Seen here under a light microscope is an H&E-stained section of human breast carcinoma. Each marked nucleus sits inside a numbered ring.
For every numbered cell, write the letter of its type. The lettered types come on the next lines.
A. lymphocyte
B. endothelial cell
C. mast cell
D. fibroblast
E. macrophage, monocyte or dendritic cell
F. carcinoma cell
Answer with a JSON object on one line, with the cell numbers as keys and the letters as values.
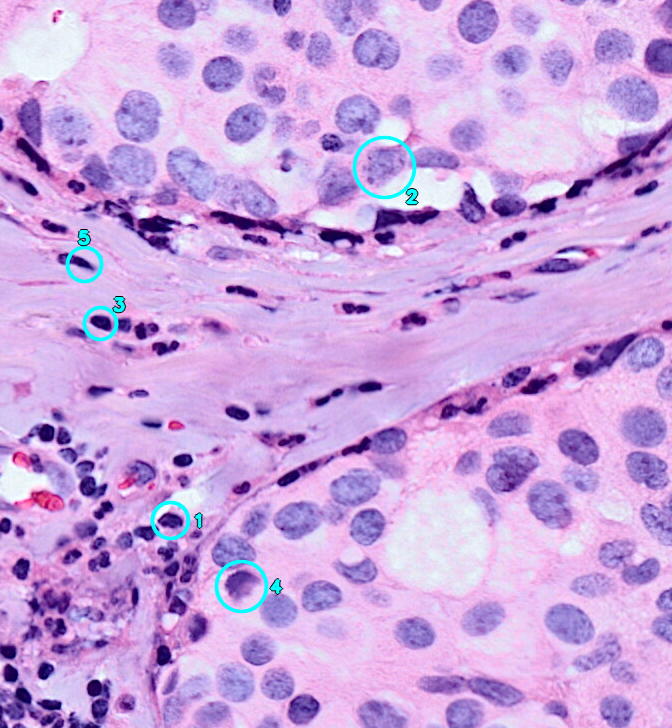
{"1": "A", "2": "F", "3": "A", "4": "F", "5": "A"}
